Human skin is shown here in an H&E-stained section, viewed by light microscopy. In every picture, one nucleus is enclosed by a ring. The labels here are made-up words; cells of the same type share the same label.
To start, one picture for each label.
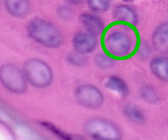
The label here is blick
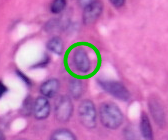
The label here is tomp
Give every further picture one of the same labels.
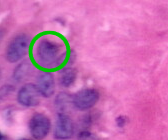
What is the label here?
tomp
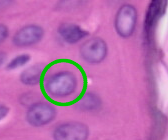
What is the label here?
blick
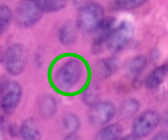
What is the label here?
blick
